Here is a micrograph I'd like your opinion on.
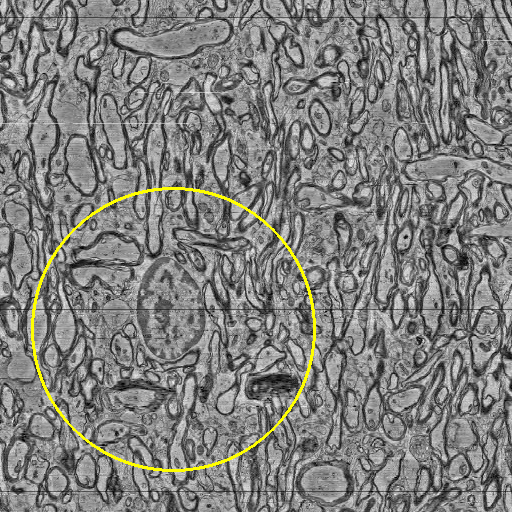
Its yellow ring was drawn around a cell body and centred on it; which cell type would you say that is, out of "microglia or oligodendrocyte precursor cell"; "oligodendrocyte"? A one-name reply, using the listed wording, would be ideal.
microglia or oligodendrocyte precursor cell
